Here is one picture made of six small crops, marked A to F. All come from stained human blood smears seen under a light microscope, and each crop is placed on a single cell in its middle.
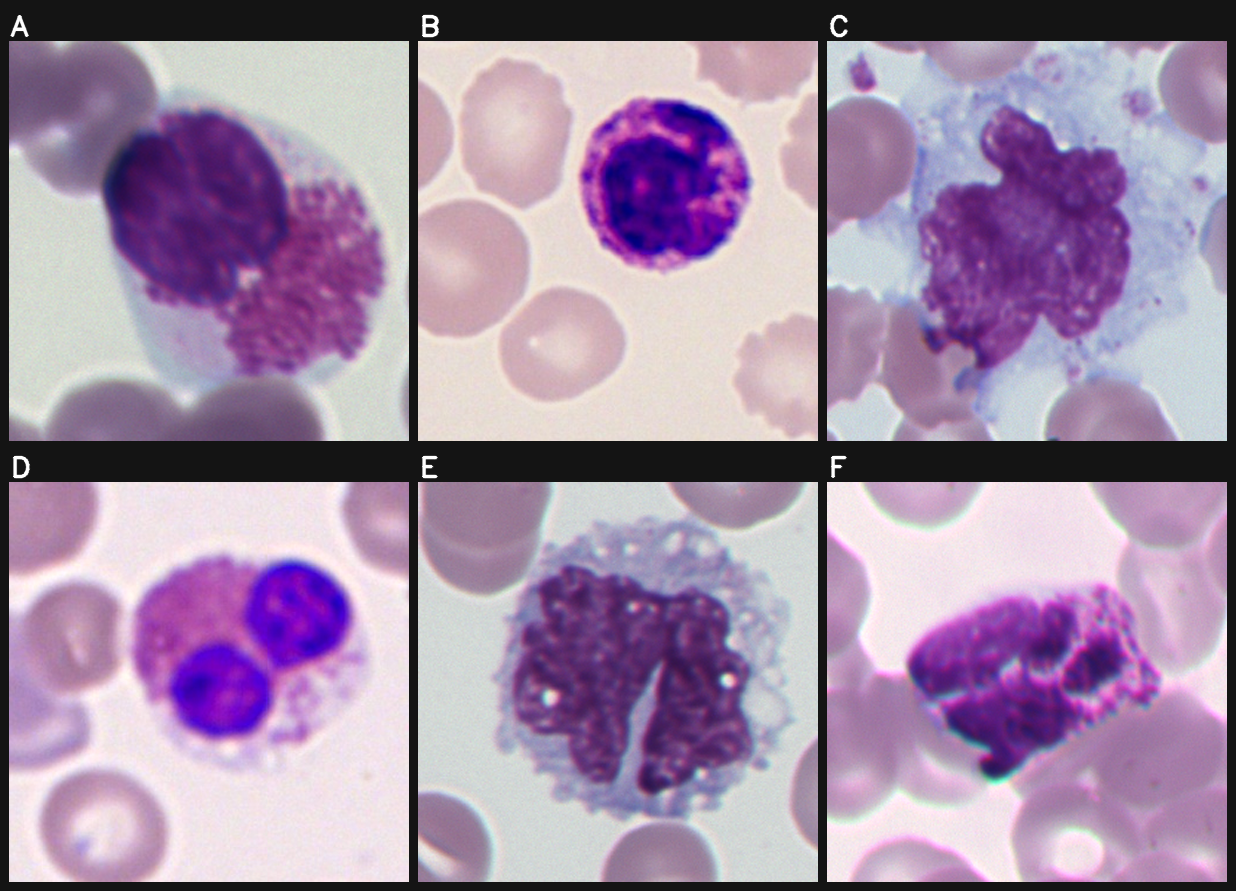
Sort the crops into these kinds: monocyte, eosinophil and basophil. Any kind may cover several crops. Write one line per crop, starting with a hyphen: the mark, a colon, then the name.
- A: eosinophil
- B: basophil
- C: monocyte
- D: eosinophil
- E: monocyte
- F: basophil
